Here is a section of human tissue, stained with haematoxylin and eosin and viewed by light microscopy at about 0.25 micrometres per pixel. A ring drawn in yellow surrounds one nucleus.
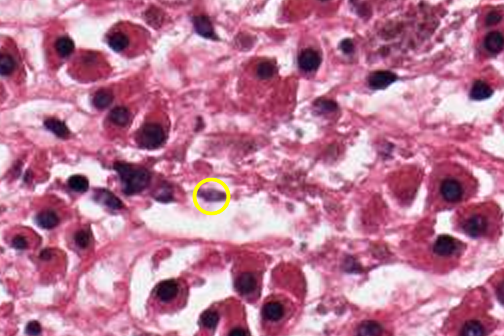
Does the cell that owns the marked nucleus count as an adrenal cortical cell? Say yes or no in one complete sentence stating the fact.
No, belonging to a supporting cell, the marked nucleus is not part of an adrenal cortical cell.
